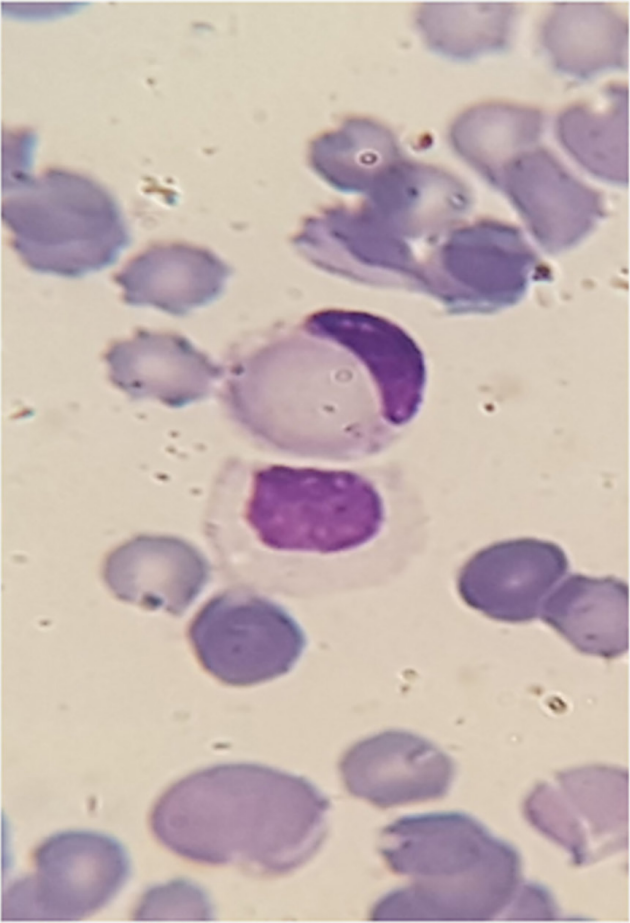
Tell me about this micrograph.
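A neutrophil in a peripheral blood smear has engulfed a red blood cell. The engulfed red cell forms a large, round, pale pink body filling most of the white cell, and the dark purple nucleus is squeezed into a curved crescent against one side.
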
